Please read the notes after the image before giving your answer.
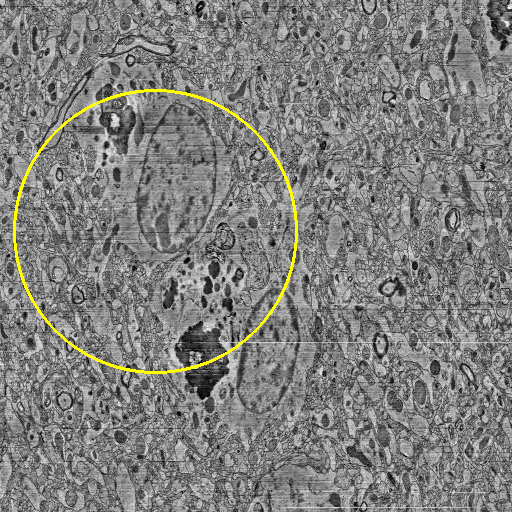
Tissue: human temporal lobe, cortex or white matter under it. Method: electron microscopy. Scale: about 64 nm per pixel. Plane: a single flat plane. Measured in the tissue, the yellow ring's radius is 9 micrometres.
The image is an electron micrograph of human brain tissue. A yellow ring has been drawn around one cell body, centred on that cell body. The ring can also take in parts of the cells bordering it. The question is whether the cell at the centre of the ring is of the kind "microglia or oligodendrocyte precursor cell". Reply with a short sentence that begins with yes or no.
No, the cell at the centre is of another kind.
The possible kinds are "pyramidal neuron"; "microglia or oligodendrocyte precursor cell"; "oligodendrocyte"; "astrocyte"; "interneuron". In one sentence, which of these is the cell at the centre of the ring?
The cell in the ring is an astrocyte instead.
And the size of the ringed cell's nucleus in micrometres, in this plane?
Roughly 10 by 5 micrometers, clearly longer than it is wide in this plane.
